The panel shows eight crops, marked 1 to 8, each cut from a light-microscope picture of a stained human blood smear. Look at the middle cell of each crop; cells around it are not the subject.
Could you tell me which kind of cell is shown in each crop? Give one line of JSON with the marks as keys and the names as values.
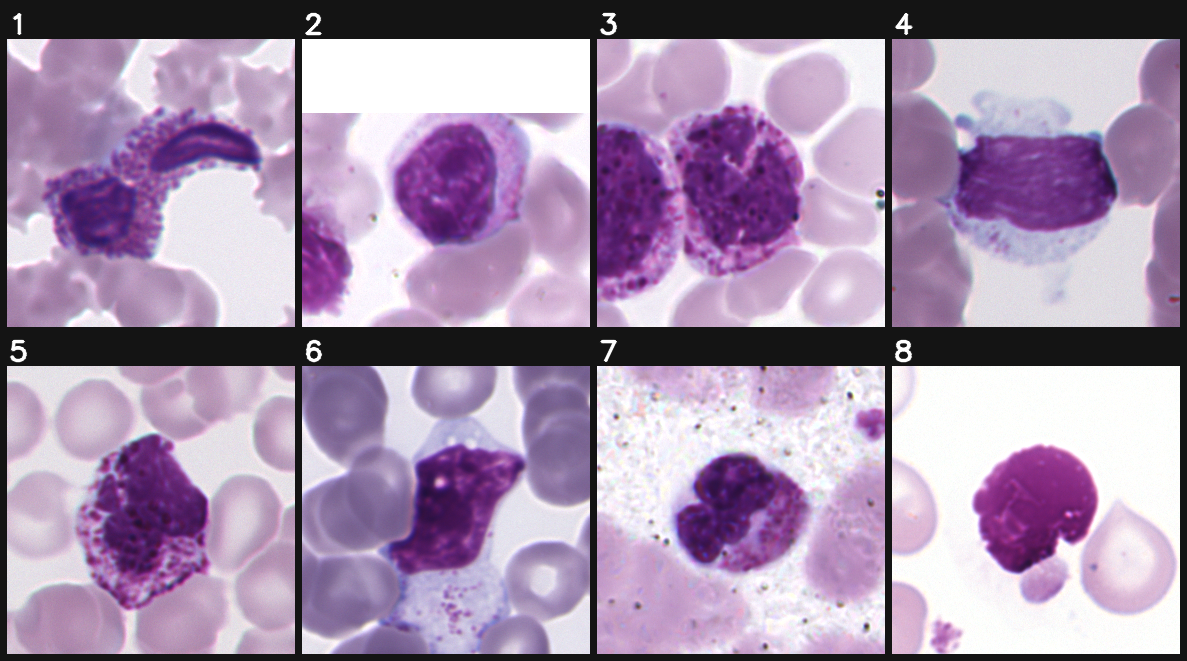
{"1": "eosinophil", "2": "metamyelocyte", "3": "basophil", "4": "large granular lymphocyte", "5": "basophil", "6": "large granular lymphocyte", "7": "eosinophil", "8": "smudge cell"}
